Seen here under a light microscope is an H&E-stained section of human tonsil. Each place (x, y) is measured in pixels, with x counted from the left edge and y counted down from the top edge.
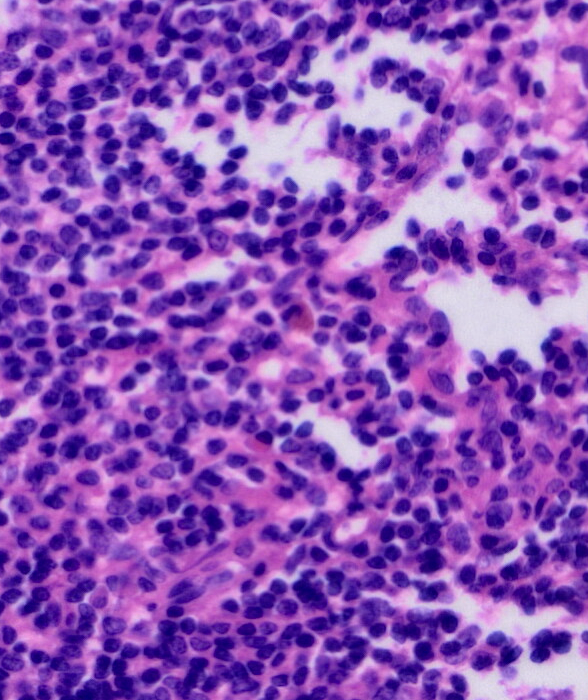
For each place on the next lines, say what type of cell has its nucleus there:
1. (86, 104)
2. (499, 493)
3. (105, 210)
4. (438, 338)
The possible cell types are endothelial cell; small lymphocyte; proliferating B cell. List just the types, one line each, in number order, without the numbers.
small lymphocyte
endothelial cell
small lymphocyte
endothelial cell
